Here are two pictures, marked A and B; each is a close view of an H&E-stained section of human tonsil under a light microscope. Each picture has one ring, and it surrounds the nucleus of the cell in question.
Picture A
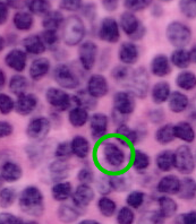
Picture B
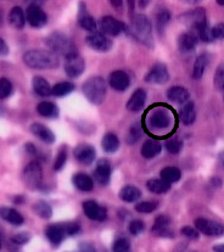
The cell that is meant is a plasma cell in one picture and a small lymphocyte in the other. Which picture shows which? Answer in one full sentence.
Picture A shows a small lymphocyte and picture B shows a plasma cell.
